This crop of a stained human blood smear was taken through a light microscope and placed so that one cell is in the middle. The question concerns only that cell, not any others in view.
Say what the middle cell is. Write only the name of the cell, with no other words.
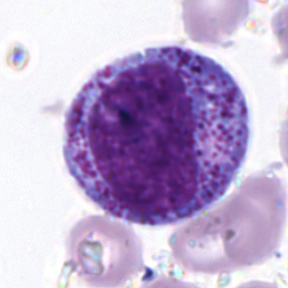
promyelocyte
